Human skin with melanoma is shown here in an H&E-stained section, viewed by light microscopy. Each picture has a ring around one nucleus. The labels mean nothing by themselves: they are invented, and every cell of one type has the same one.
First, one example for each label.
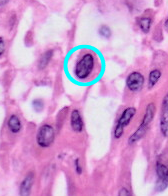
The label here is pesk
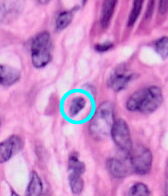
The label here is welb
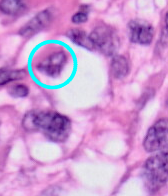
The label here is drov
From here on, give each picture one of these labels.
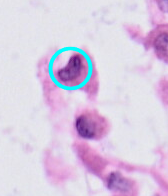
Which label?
pesk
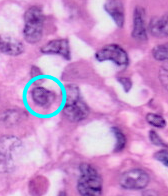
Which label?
drov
